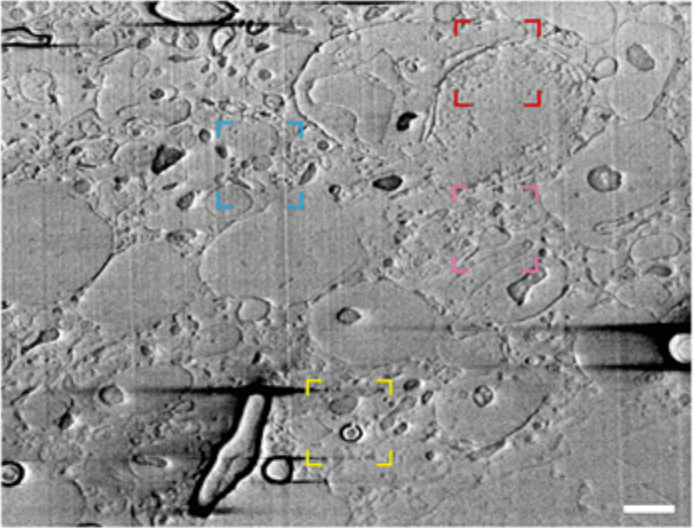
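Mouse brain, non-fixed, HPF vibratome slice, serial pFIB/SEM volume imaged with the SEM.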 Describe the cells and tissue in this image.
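Small dark oval organelles are scattered through the processes, and a small profile wrapped in a thick dark ring stands out in the lower middle. Vertical streaks and dark horizontal smears cross the image.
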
